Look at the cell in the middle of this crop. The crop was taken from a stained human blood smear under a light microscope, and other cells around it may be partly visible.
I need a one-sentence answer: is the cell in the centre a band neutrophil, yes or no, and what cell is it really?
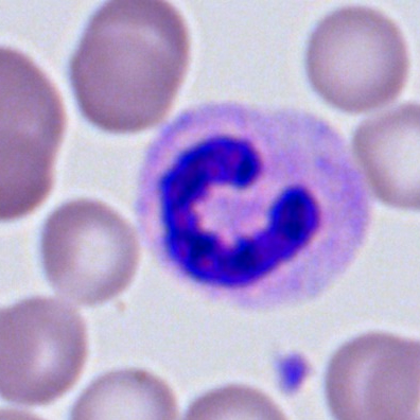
Yes, the cell that the crop is centered on is a band neutrophil.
